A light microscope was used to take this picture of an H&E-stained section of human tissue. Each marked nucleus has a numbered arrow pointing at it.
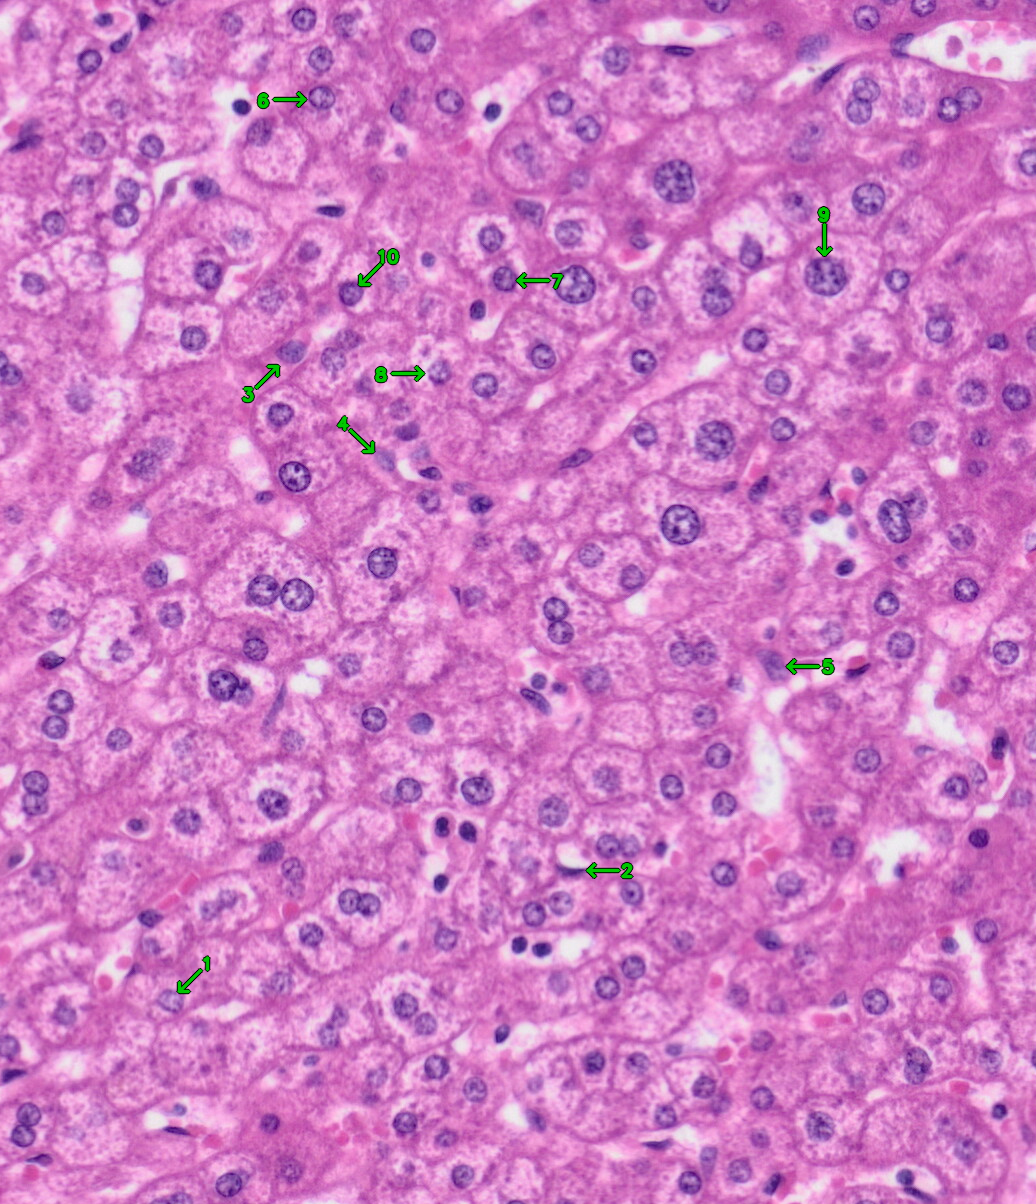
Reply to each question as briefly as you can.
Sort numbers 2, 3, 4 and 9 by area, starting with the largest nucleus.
9, 3, 4, 2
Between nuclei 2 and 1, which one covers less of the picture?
2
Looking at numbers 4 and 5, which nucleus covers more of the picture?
5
